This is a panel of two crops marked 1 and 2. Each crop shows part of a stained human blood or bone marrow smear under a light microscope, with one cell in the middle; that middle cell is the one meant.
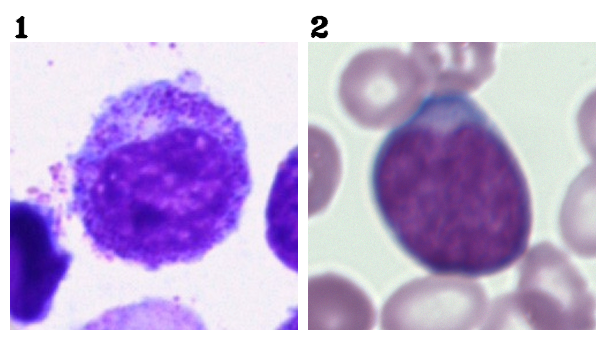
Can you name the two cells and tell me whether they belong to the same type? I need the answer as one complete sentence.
No, crop 1 contains a myelocyte, and crop 2 contains a blast.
